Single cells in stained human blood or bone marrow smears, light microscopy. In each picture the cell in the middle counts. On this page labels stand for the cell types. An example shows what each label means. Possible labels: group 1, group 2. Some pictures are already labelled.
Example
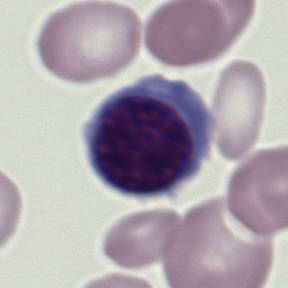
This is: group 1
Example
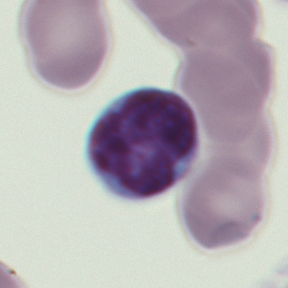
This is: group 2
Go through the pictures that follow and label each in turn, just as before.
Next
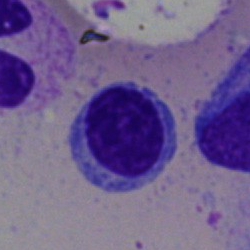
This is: group 2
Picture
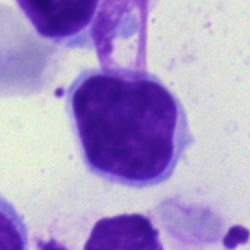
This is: group 2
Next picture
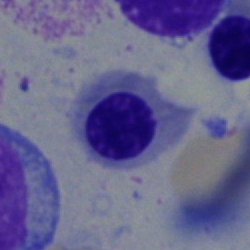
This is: group 1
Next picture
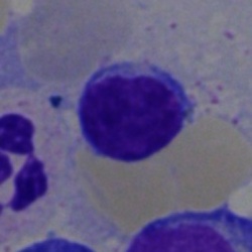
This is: group 2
